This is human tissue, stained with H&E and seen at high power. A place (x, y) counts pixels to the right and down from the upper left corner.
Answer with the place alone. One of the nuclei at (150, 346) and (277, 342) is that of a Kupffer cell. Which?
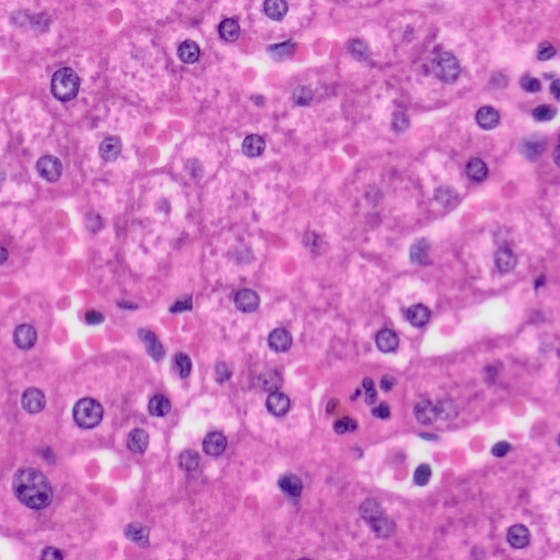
(150, 346)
